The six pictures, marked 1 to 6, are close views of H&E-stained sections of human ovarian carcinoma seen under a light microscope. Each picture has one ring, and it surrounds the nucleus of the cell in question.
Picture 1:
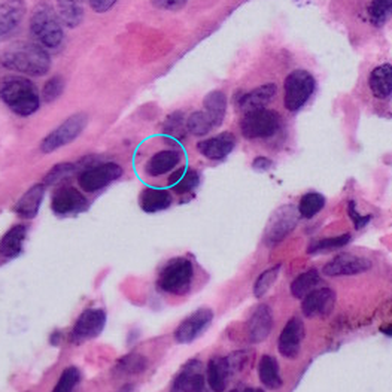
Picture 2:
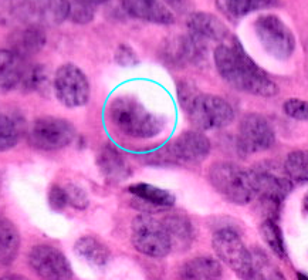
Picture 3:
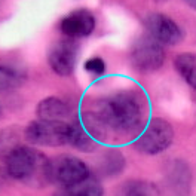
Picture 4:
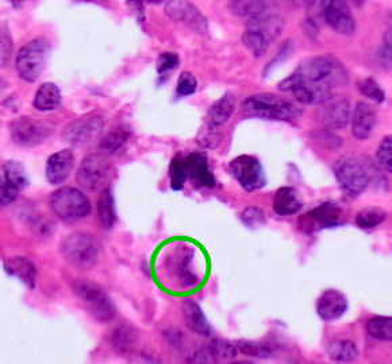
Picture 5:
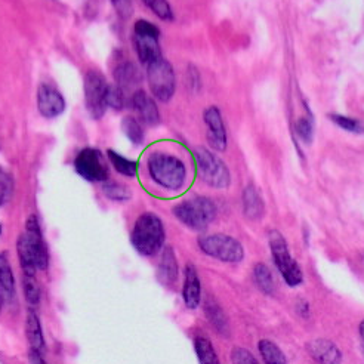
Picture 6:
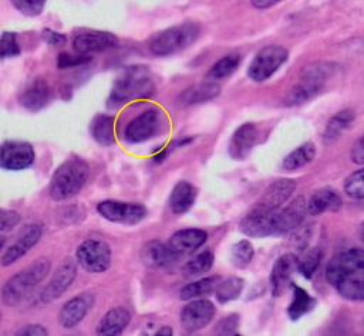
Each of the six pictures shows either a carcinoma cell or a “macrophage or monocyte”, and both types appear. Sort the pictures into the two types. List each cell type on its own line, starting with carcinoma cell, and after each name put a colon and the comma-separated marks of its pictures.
carcinoma cell: 1, 2, 3, 6
macrophage or monocyte: 4, 5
